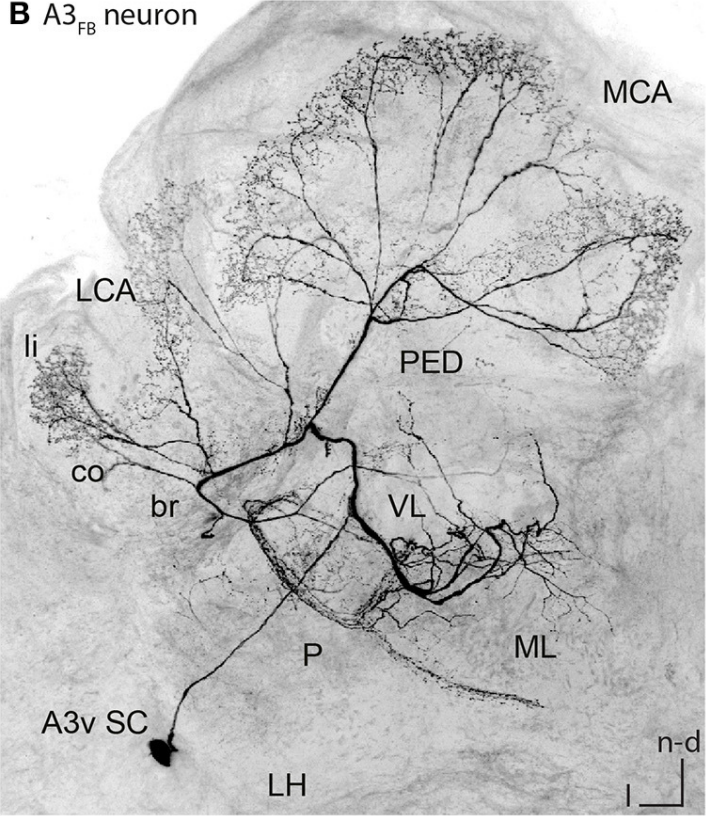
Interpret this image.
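The fibre branches into thick processes in the lobe region and then sends long branches up and outward to the cup-shaped calyces. There the branches end in dense fields of tiny dark blebs that line the outer parts of the calyces.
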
